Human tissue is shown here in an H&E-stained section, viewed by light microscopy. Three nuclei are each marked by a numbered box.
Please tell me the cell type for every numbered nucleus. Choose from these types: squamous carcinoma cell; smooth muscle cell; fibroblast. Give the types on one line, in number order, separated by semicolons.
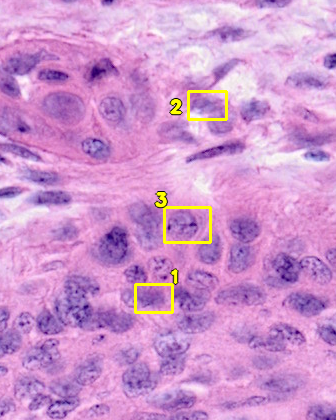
squamous carcinoma cell; fibroblast; squamous carcinoma cell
